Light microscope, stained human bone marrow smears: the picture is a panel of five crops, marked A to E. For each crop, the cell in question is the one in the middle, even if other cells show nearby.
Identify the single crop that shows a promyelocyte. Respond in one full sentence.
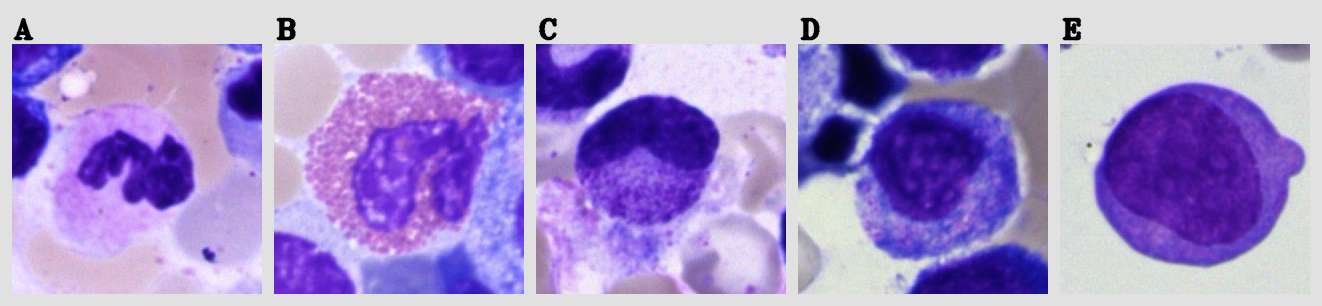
The crop carrying a promyelocyte at the center is crop D.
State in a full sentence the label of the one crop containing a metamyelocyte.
Selected crop: C, which is the one that shows a metamyelocyte.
